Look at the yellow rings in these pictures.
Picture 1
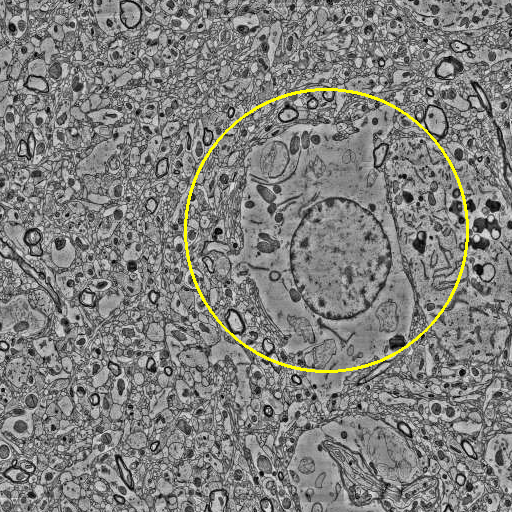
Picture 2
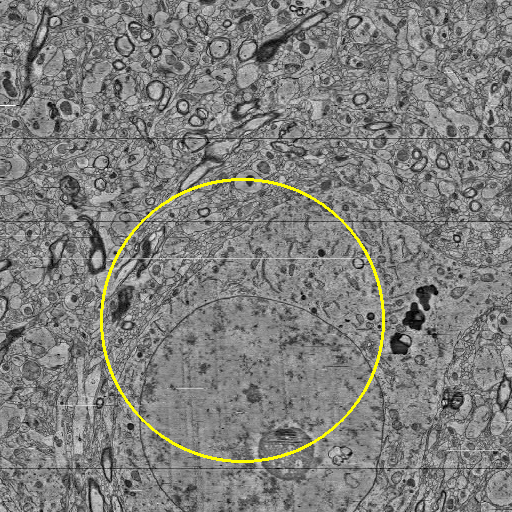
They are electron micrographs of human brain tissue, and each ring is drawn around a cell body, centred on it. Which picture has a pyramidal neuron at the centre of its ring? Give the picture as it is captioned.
Picture 2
